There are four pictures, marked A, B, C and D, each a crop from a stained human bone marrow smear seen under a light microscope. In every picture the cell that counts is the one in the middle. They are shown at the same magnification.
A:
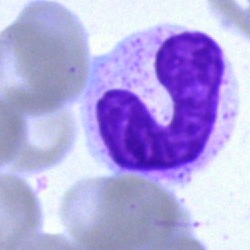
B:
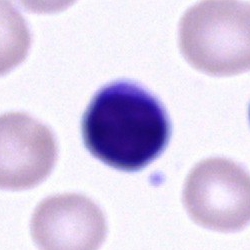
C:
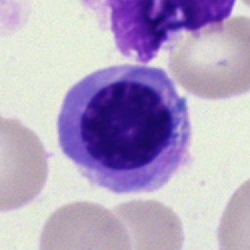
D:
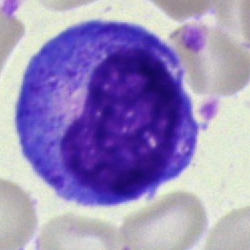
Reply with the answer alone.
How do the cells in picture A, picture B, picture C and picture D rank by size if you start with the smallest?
B, C, A, D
